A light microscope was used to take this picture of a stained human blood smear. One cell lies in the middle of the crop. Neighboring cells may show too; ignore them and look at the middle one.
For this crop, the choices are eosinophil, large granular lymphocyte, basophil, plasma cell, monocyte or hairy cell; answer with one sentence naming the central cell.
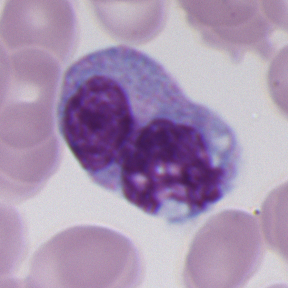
The cell at the central position in this crop is a monocyte.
